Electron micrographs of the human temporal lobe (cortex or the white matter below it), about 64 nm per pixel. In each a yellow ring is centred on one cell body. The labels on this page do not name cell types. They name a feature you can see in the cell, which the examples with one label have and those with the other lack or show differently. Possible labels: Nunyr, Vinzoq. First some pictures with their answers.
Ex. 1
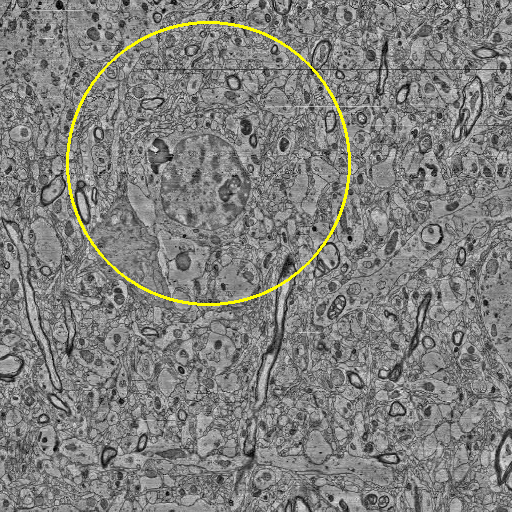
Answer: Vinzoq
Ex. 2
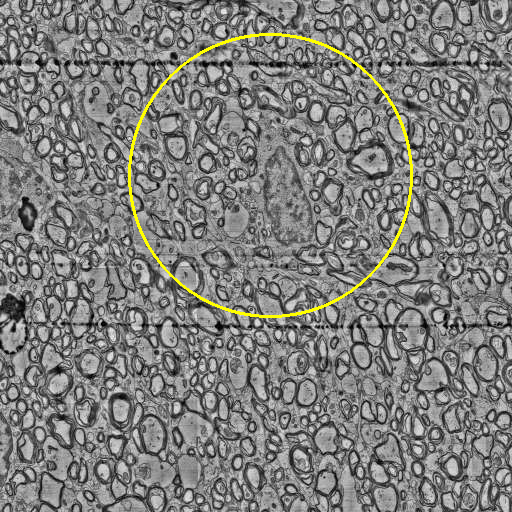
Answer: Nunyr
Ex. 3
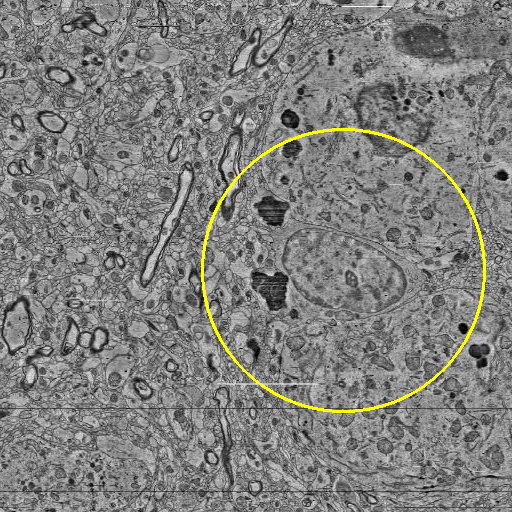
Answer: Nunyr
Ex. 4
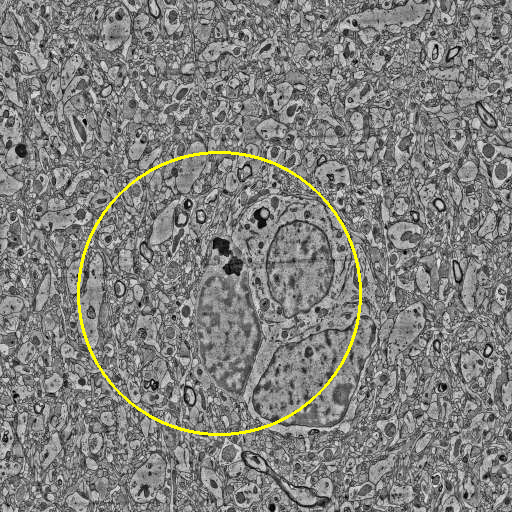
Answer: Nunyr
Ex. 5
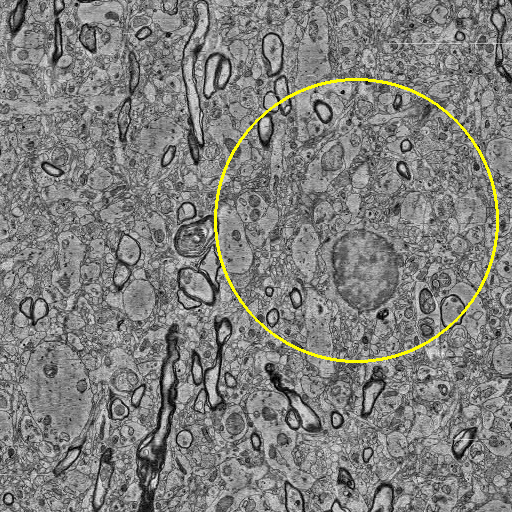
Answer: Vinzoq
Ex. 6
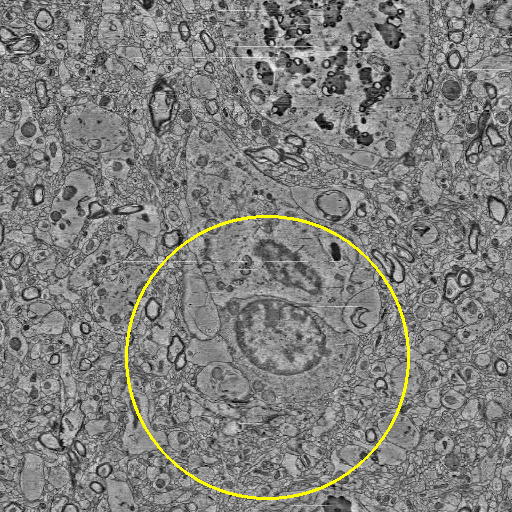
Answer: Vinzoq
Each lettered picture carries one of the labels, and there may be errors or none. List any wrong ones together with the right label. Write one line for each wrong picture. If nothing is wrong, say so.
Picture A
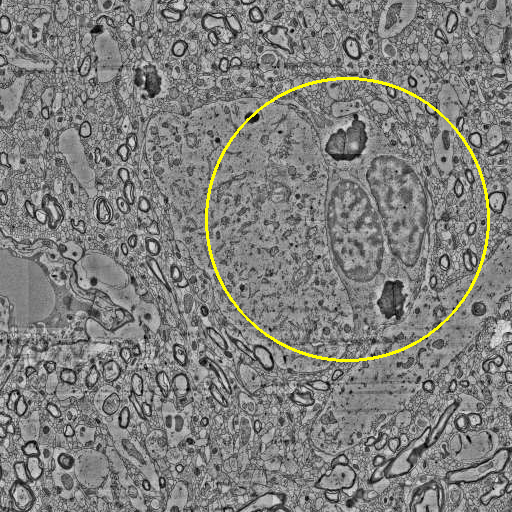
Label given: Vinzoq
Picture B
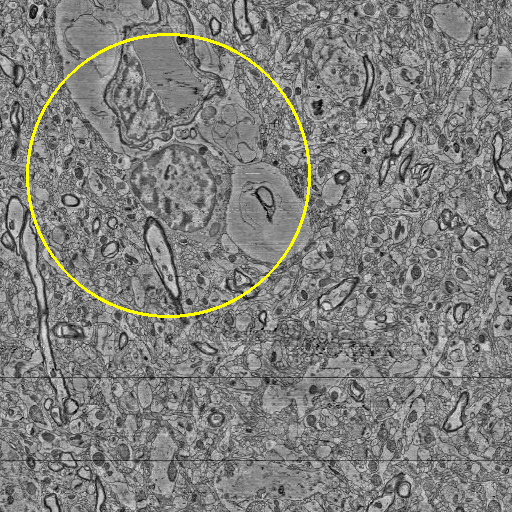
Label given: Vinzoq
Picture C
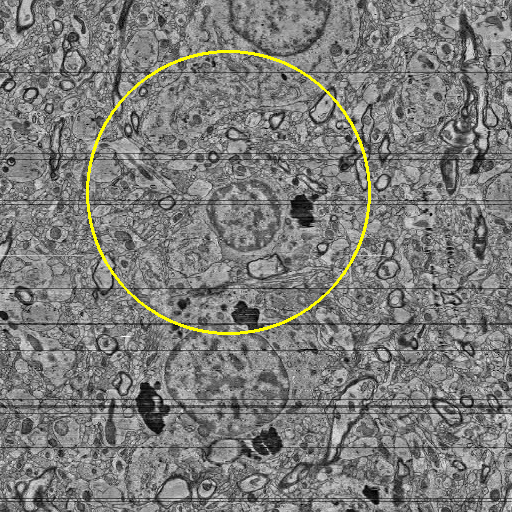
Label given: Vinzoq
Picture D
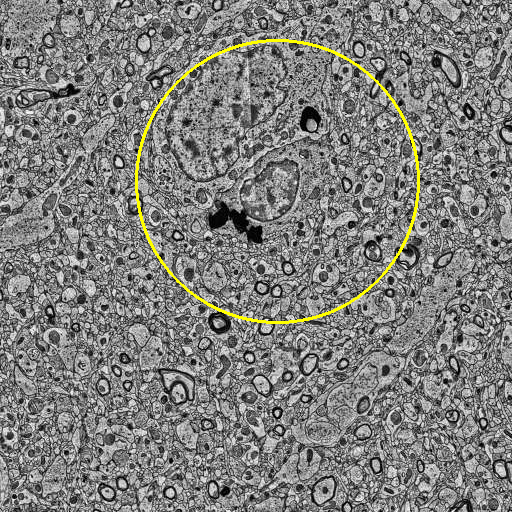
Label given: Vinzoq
Wrong: A (Vinzoq); correct: Nunyr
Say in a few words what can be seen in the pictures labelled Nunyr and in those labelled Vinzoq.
Seen in Nunyr: clearly elongated nuclei; seen in Vinzoq: round or nearly round nuclei.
